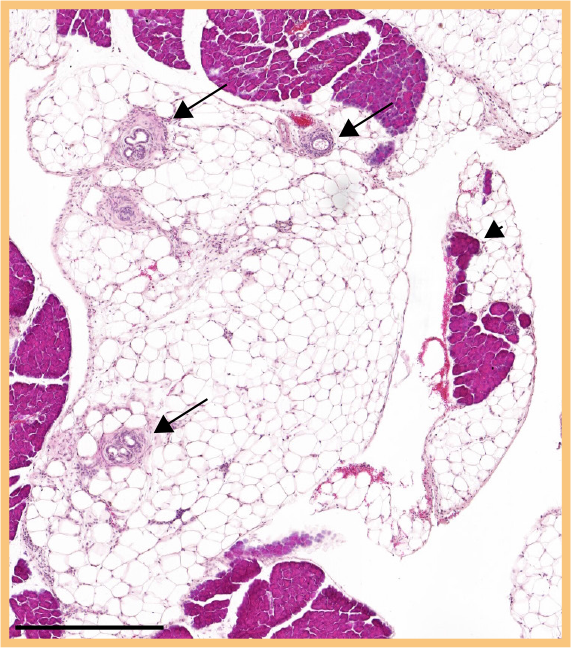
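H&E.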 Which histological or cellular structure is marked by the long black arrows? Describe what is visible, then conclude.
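The arrows point to small round structures with a lumen lined by cells. Each of these structures is surrounded by a rim of pinkish-purple stroma. They lie isolated within a field of clear fat cells. So: residual ducts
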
